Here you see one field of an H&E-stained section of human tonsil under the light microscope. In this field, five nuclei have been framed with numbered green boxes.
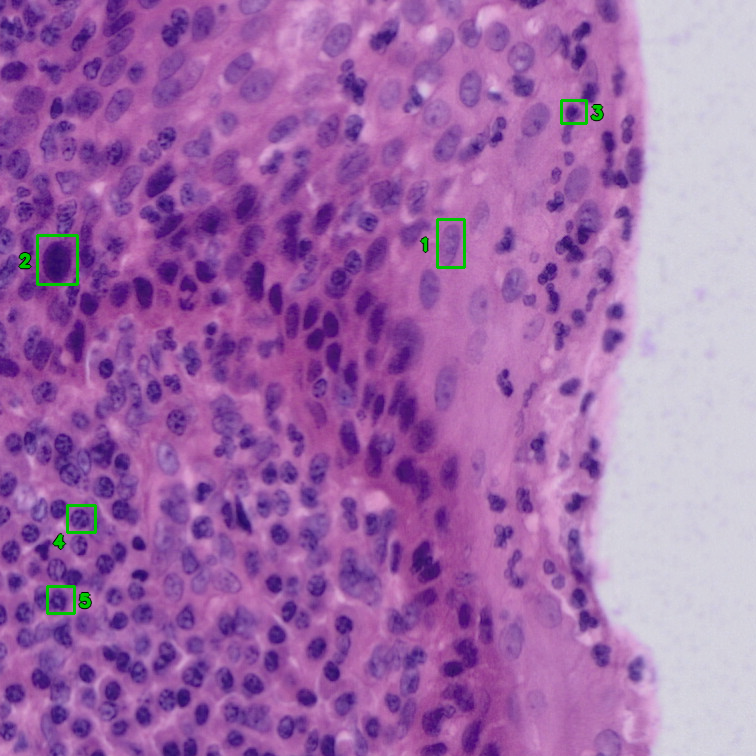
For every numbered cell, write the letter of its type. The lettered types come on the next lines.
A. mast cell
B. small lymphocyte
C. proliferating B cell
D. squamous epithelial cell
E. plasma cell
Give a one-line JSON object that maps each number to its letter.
{"1": "D", "2": "D", "3": "D", "4": "E", "5": "E"}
